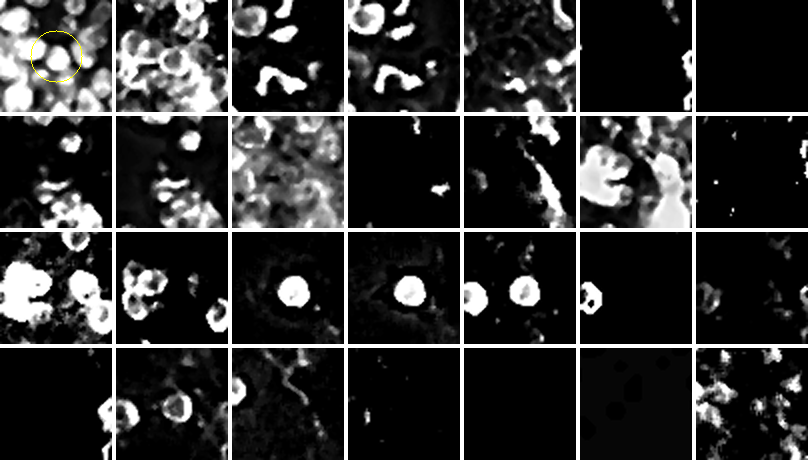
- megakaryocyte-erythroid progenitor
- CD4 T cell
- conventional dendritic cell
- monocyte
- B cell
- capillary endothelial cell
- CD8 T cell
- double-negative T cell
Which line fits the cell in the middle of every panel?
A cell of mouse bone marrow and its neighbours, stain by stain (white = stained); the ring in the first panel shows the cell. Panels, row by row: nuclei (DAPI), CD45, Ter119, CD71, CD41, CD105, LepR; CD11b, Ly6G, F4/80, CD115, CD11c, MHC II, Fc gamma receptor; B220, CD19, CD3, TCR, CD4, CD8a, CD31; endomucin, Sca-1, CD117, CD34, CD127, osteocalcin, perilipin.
CD4 T cell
